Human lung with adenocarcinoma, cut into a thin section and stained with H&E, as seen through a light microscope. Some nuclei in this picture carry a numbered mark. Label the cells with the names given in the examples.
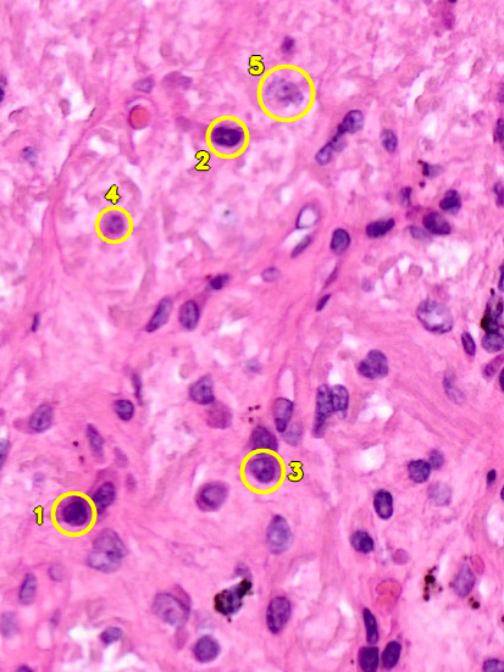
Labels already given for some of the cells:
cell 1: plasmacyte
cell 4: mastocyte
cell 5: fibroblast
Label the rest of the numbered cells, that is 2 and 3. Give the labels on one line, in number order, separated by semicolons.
plasmacyte; plasmacyte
